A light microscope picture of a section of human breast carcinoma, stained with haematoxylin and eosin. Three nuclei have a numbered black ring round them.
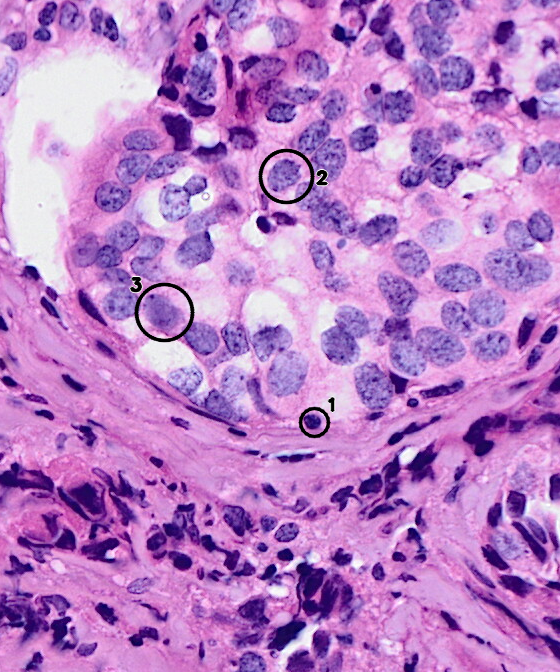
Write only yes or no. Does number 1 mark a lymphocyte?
yes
